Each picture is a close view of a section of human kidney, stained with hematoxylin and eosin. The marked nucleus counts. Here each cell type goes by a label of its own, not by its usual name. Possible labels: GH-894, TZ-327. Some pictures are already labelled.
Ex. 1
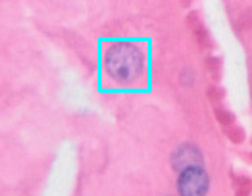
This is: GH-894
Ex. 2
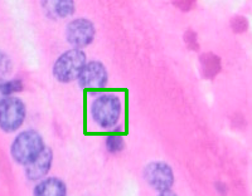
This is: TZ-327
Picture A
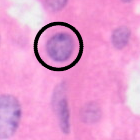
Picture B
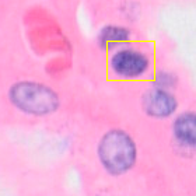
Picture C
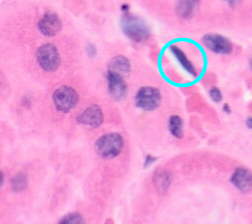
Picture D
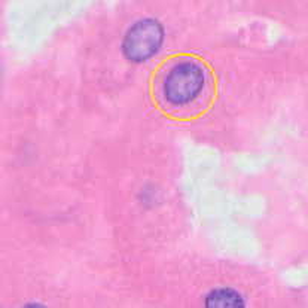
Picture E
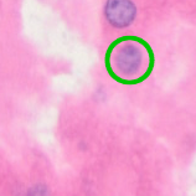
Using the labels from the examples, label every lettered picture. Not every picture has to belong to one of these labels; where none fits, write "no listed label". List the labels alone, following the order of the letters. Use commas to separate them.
GH-894, TZ-327, no listed label, GH-894, GH-894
